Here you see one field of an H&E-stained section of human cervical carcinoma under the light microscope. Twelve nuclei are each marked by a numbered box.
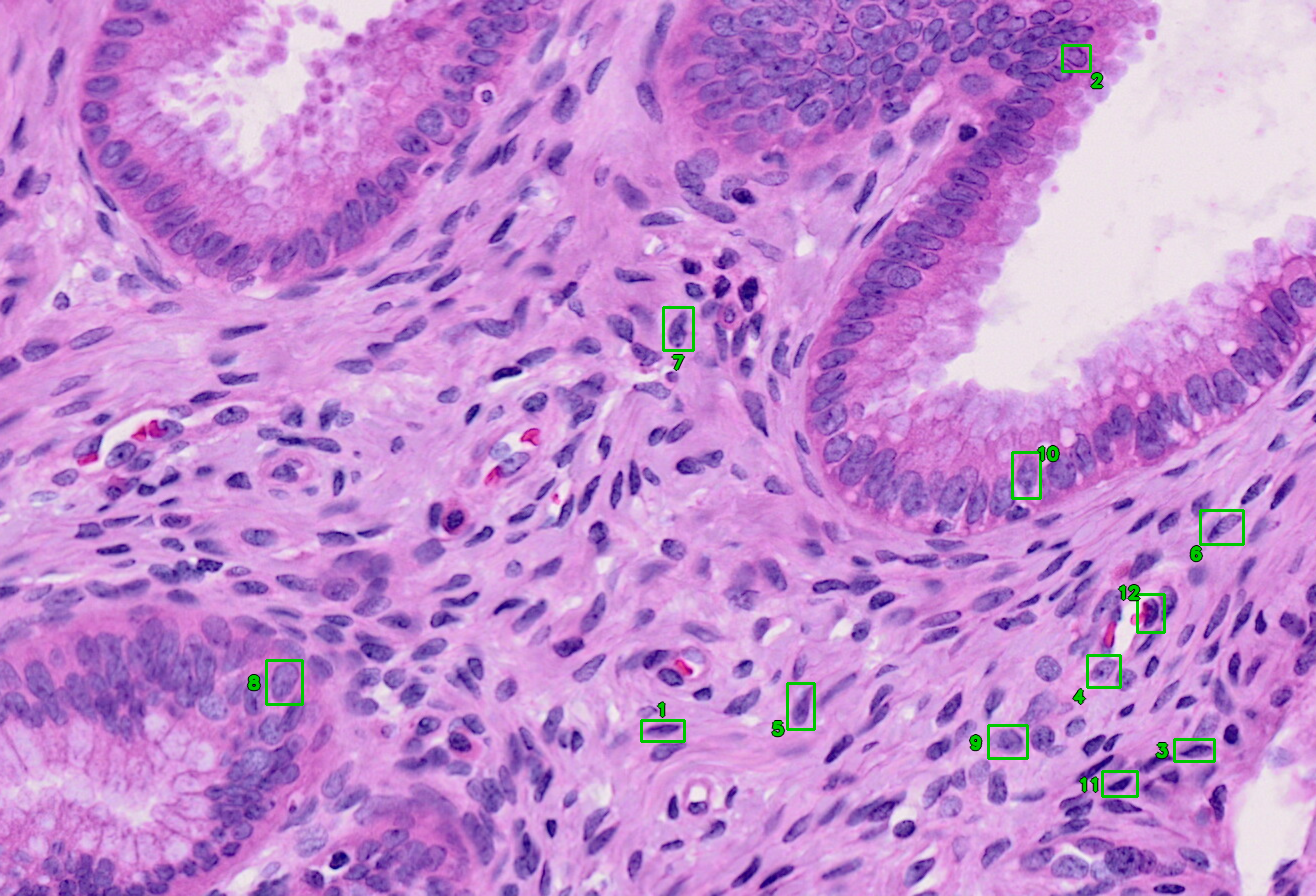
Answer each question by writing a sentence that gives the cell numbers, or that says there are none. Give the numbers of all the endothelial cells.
The cells referred to by numbers 4 and 12 are endothelial cells.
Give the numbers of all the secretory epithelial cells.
Into the category of secretory epithelial cells fall the cells numbered 2, 8 and 10.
